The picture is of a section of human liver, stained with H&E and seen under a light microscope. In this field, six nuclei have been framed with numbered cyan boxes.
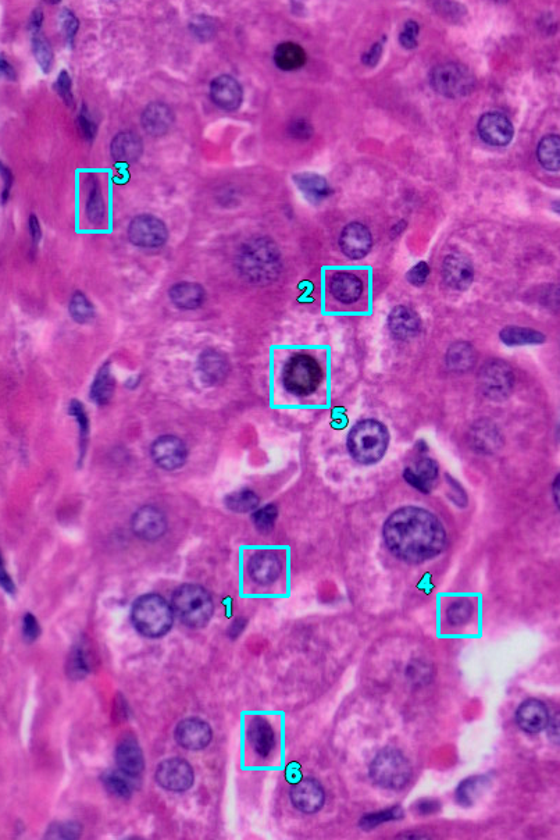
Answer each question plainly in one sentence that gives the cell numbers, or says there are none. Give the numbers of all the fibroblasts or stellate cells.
In this set of numbered cells, only cell 3 is a fibroblast or stellate cell.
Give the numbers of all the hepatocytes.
By cell type, the cells numbered 1, 2 and 5 are hepatocytes.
